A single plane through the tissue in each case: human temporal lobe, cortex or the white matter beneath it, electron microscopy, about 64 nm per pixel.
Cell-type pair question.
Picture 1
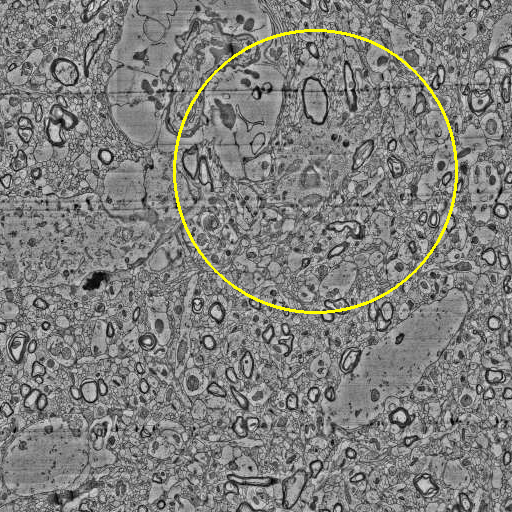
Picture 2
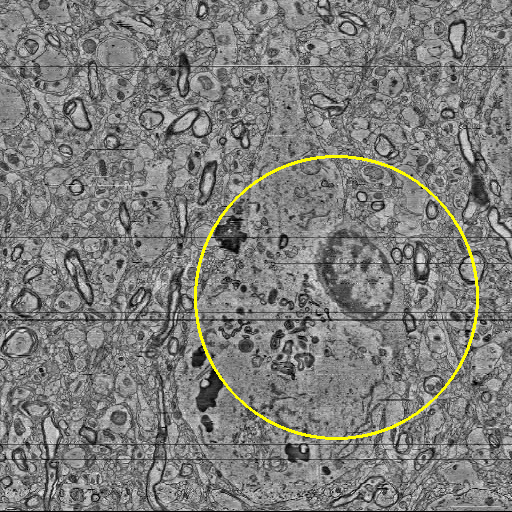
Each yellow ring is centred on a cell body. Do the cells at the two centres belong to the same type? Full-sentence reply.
Yes, the two cells belong to the same type.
